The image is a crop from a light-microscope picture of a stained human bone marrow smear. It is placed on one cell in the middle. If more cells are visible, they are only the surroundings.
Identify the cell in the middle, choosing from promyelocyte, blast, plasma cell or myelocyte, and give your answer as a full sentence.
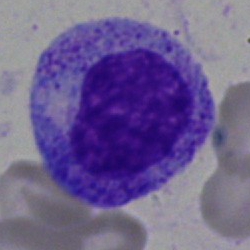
The center cell of this crop is a myelocyte.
